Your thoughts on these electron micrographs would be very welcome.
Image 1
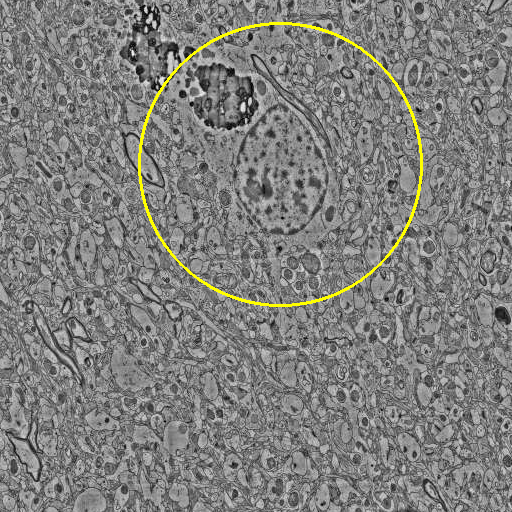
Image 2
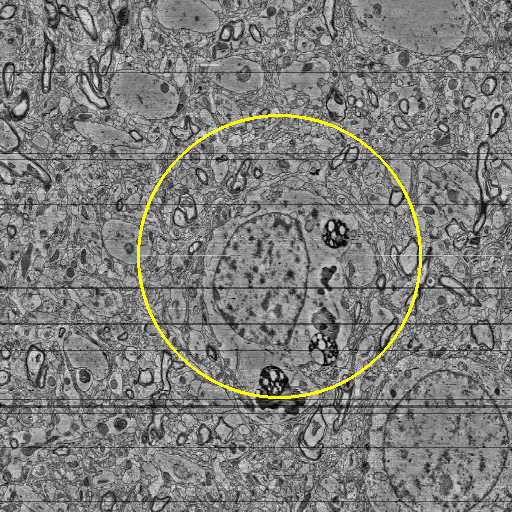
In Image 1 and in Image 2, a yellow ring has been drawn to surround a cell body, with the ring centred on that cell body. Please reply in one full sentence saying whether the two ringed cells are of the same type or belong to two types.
The ringed cells in Image 1 and Image 2 are of the same type.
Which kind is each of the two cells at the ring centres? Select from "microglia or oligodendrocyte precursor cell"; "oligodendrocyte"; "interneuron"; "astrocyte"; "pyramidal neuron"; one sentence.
Each of the two rings surrounds an astrocyte.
